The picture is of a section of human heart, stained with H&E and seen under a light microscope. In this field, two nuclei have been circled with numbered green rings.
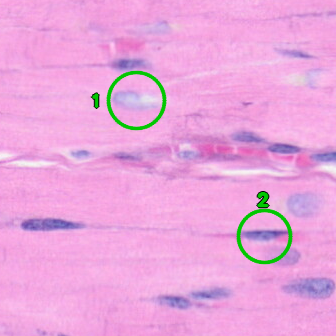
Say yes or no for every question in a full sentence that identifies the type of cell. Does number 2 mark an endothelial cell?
Yes, the cell given number 2 is an endothelial cell.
